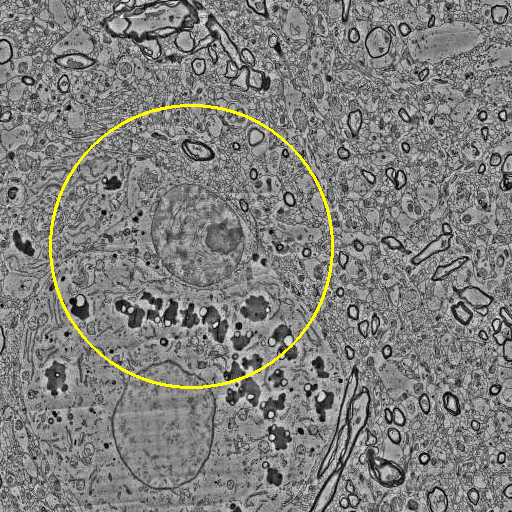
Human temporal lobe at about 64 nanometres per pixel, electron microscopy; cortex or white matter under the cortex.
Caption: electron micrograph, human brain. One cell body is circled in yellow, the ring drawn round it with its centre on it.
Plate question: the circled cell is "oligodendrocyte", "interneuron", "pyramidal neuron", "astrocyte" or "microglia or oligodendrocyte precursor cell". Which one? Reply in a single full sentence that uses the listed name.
The yellow ring on the plate is centred on an oligodendrocyte, going by the listed names.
